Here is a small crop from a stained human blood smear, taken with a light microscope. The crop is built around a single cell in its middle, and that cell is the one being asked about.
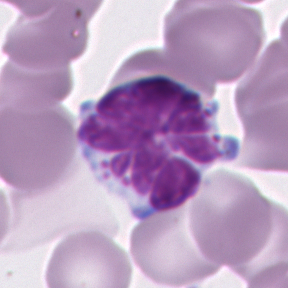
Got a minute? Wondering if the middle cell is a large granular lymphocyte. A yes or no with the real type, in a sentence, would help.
Yes, the cell at the centre is designated a large granular lymphocyte.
